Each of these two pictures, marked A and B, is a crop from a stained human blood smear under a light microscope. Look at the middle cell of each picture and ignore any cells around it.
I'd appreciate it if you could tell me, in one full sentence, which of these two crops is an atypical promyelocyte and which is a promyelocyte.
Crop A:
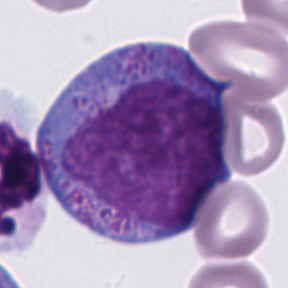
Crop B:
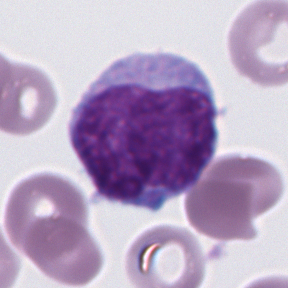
Classification: crop A is a promyelocyte, crop B is an atypical promyelocyte.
